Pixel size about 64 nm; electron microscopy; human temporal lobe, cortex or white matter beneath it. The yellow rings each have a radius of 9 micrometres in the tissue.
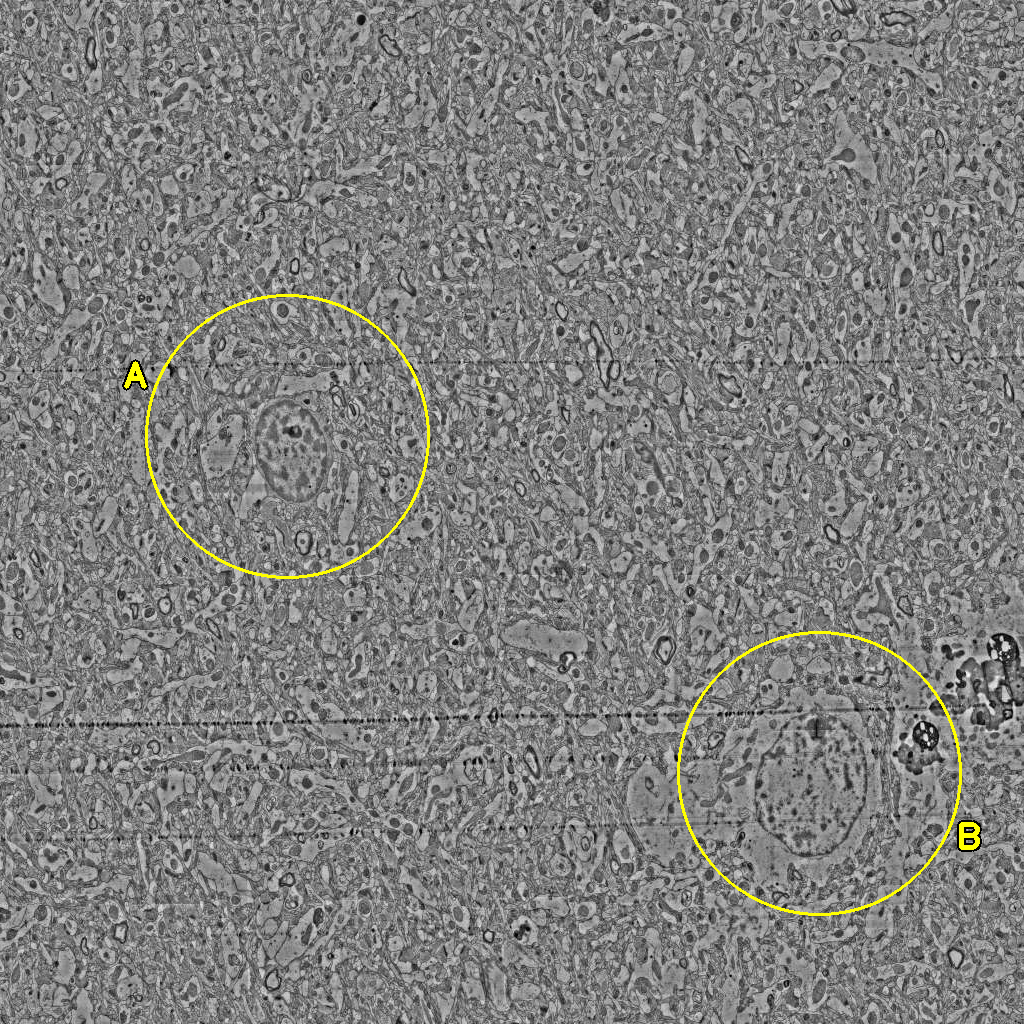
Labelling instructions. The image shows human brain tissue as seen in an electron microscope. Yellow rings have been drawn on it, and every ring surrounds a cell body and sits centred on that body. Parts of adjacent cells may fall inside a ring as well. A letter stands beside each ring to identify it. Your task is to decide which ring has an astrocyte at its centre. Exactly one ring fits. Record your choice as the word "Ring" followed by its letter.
Ring B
